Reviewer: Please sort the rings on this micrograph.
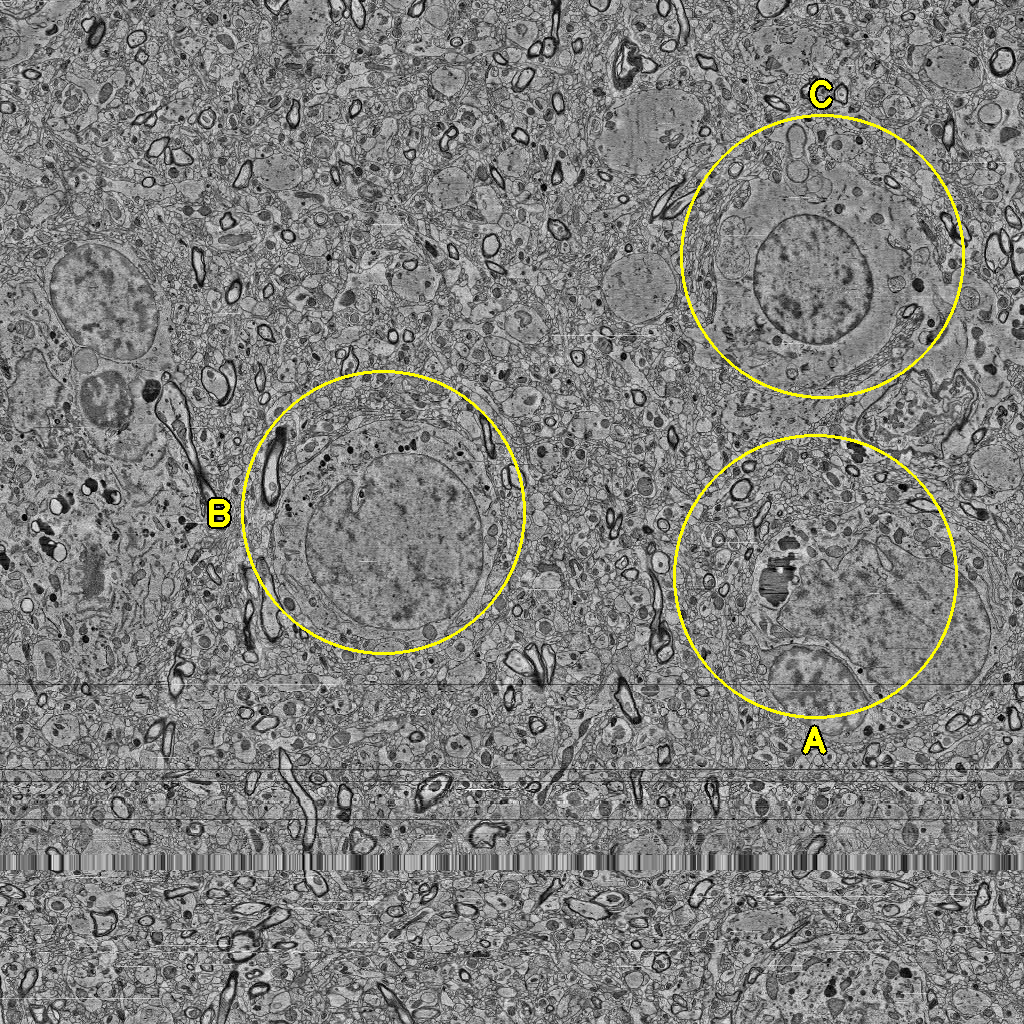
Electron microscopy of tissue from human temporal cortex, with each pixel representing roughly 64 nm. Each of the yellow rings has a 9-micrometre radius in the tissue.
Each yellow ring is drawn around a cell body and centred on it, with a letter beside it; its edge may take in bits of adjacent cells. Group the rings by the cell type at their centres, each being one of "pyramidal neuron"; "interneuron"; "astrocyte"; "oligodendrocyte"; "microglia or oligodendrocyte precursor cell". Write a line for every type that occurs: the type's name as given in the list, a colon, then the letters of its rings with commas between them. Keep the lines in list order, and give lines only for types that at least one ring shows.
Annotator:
interneuron: A, B
astrocyte: C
